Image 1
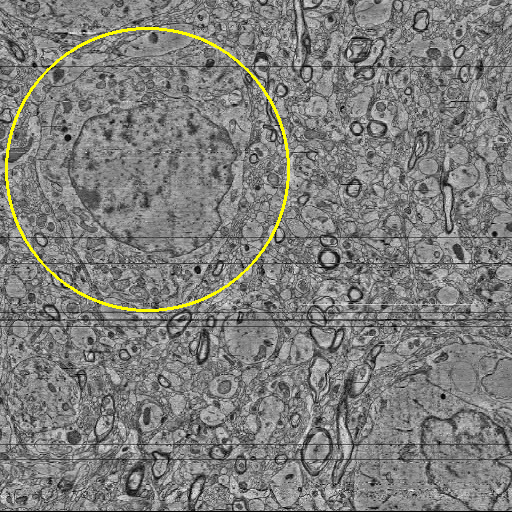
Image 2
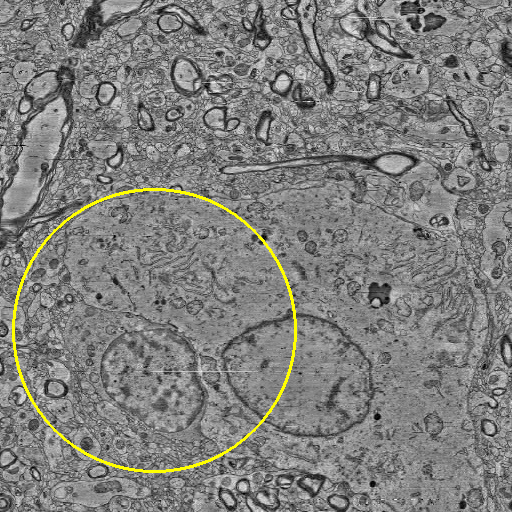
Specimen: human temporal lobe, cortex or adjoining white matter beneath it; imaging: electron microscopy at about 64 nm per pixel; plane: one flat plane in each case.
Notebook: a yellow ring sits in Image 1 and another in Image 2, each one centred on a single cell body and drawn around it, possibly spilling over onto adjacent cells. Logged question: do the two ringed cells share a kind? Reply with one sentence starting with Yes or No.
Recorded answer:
No, the centre cells inside the rings of Image 1 and Image 2 are of two kinds.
